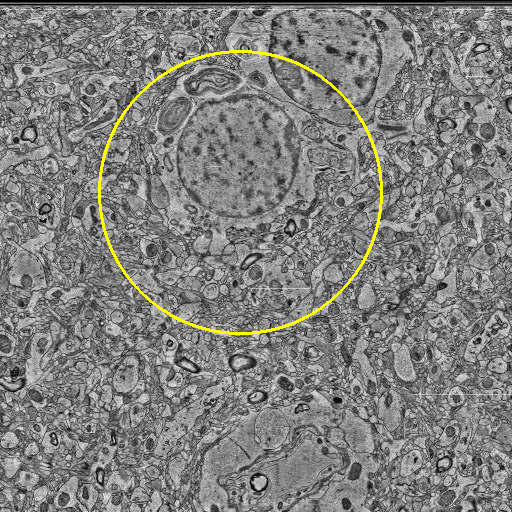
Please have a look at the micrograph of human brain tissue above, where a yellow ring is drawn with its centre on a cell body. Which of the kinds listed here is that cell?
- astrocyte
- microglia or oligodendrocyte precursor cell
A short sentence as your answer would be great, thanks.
At the centre of the ring sits an astrocyte.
